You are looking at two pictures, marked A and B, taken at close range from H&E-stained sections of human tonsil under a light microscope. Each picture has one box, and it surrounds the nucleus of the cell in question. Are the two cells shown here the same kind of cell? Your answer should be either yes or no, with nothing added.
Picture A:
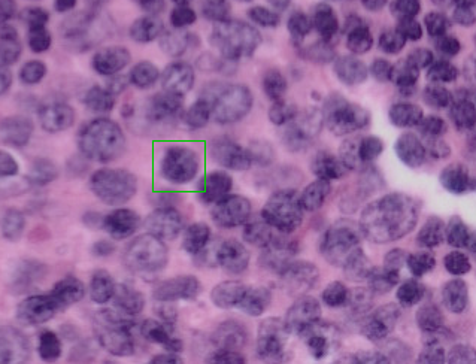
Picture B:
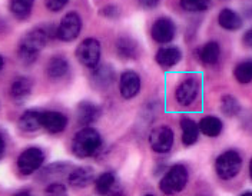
no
